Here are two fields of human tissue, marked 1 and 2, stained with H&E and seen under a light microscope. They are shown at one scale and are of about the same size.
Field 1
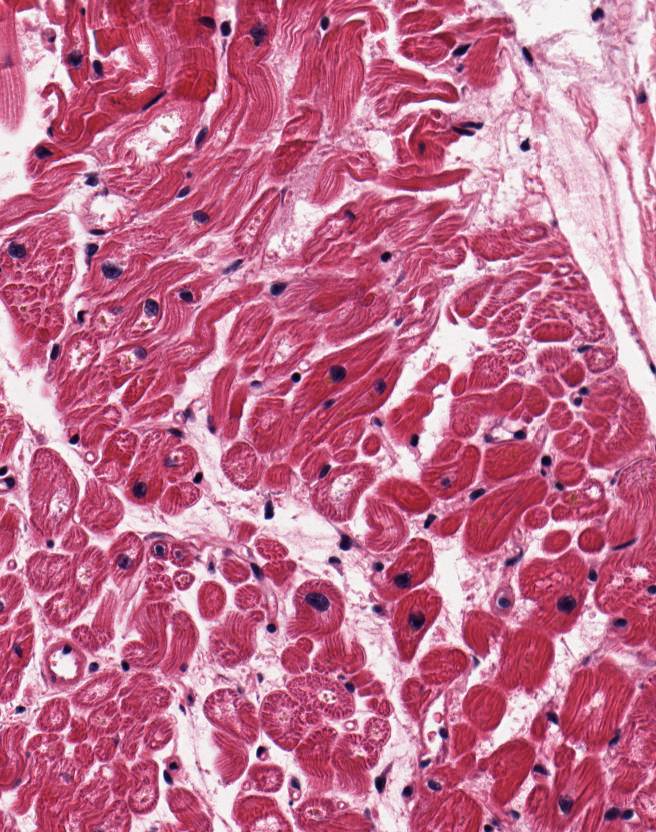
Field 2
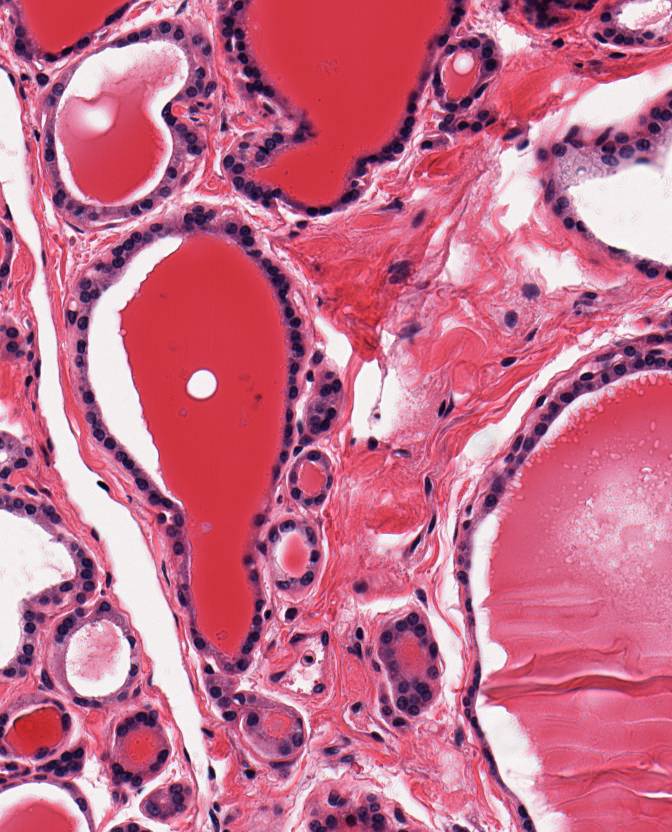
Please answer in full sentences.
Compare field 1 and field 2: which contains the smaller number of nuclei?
It is field 1 that has fewer nuclei in it.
